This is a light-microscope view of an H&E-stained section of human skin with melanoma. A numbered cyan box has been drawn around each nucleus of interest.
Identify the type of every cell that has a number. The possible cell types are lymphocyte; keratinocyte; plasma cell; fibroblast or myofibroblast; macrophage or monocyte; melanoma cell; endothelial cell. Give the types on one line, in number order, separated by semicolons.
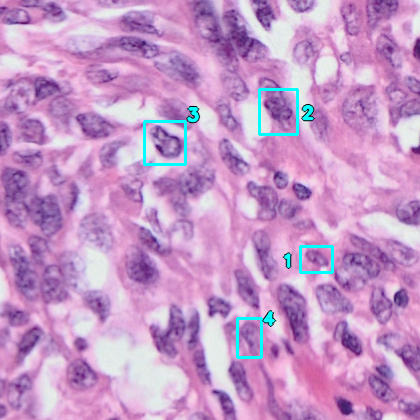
macrophage or monocyte; melanoma cell; melanoma cell; melanoma cell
